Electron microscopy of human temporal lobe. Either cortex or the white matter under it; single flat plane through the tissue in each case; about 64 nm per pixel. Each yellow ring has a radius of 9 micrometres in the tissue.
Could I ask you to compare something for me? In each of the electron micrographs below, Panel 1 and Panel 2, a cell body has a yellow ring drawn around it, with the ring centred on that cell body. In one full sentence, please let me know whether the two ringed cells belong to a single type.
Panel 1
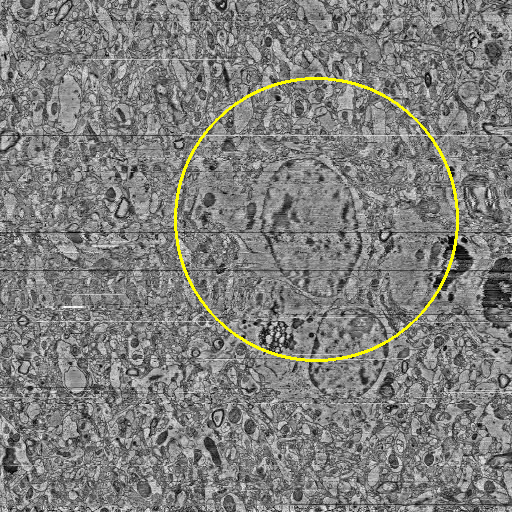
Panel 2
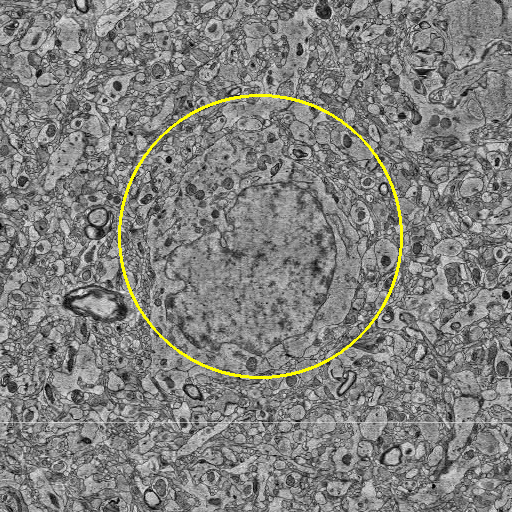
No, the two cells at the centres of the rings are of two types.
